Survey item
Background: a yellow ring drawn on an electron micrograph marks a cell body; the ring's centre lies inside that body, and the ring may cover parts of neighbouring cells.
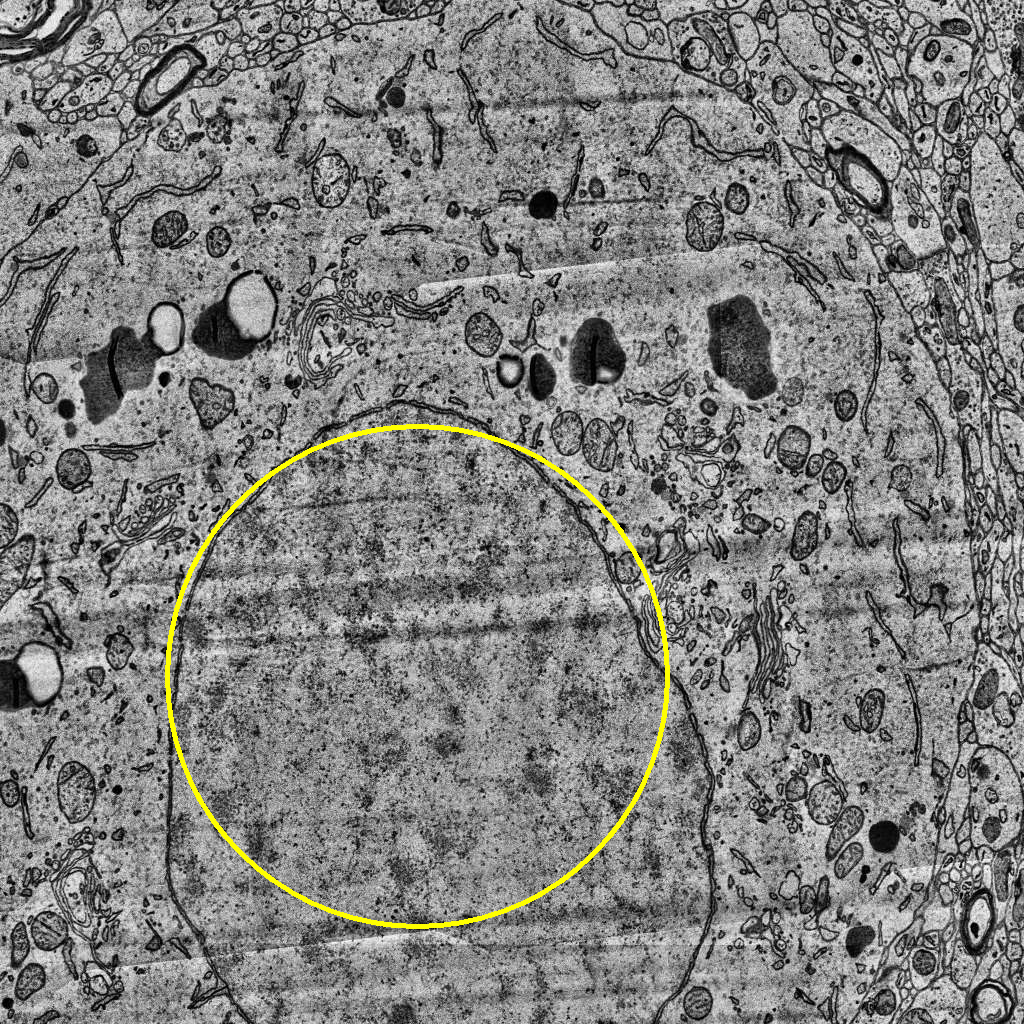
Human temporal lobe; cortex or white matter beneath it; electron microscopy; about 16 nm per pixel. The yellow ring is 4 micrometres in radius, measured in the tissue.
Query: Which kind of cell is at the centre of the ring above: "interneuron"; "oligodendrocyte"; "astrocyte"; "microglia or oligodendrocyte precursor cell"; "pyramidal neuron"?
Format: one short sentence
The cell in the middle of the ring is a pyramidal neuron.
